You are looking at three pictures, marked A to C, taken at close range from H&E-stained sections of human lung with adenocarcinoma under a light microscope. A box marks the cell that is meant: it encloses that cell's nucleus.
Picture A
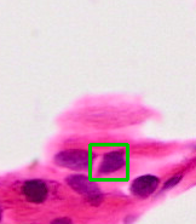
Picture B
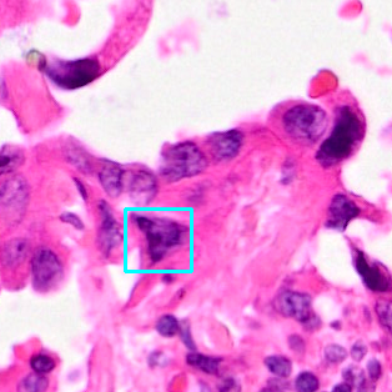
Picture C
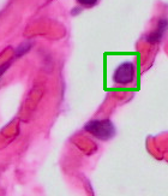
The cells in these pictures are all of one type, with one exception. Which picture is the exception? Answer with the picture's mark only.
B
